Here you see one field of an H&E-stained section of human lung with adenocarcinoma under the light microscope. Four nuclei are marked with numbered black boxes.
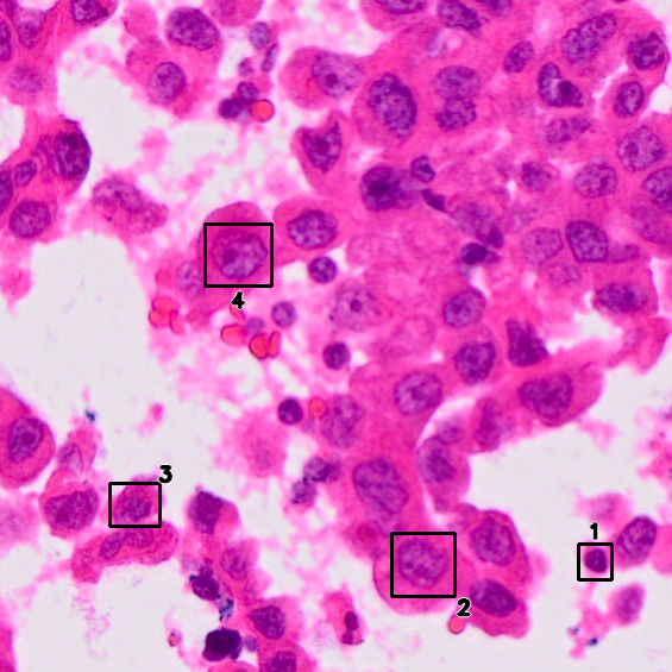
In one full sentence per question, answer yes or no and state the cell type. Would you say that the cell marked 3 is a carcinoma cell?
Yes, the cell to which number 3 refers is a carcinoma cell.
